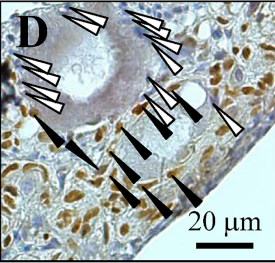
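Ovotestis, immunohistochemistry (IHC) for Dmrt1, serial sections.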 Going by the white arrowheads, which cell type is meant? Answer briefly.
Follicle-like cells.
